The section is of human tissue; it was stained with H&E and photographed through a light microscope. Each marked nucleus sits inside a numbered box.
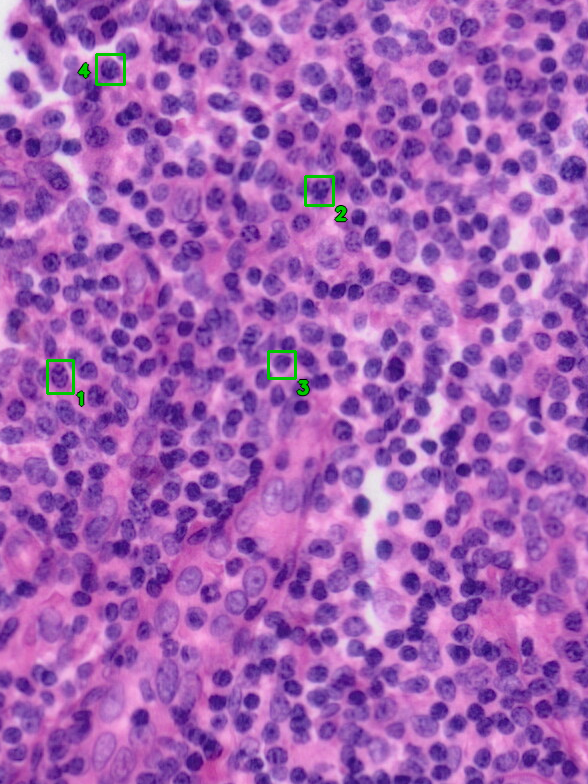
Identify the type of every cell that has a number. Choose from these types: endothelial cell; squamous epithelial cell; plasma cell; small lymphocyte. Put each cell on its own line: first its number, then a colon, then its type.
1: plasma cell
2: plasma cell
3: small lymphocyte
4: plasma cell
